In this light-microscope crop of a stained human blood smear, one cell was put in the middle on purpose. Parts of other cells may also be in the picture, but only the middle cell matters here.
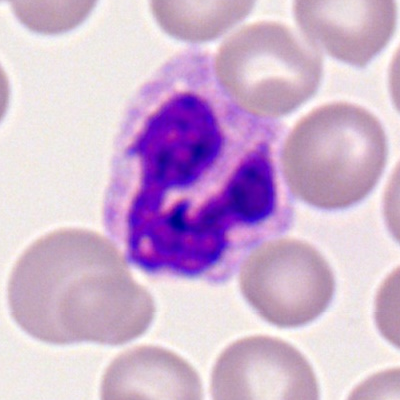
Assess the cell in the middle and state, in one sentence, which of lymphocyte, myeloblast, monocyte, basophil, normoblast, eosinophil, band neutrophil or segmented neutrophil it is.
Seen at the centre of the crop is a basophil.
